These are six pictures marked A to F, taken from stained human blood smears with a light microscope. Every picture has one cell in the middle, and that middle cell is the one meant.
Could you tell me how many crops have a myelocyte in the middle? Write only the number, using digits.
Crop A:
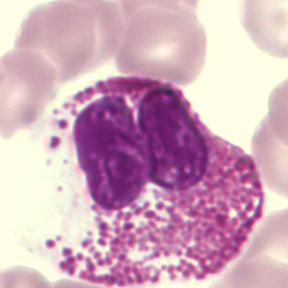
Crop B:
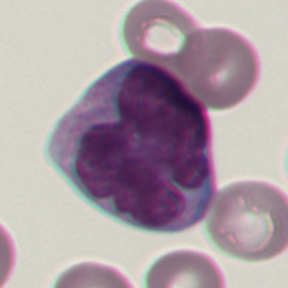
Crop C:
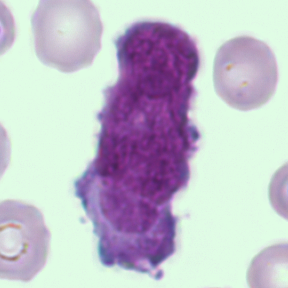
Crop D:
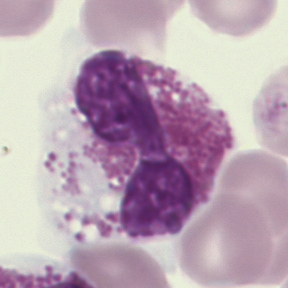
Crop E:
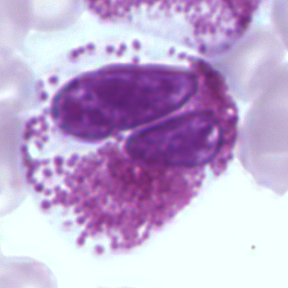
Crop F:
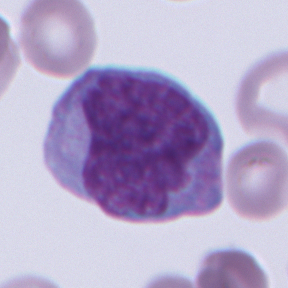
0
